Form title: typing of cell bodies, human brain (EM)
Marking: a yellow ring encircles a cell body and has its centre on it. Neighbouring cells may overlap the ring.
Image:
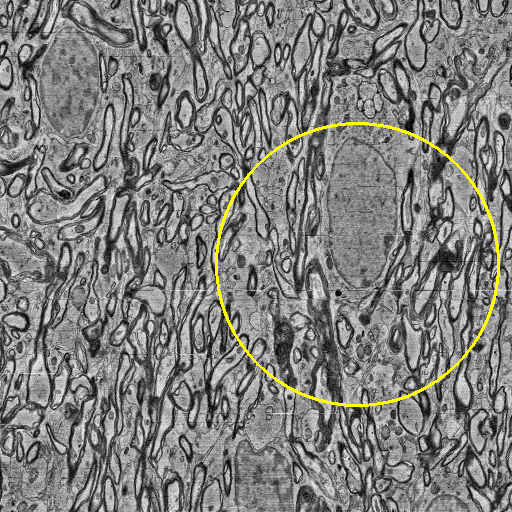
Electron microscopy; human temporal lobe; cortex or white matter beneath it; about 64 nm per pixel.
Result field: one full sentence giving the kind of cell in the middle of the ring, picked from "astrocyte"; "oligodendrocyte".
In the picture, the ring is centred on an astrocyte, whose cell body it encircles.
